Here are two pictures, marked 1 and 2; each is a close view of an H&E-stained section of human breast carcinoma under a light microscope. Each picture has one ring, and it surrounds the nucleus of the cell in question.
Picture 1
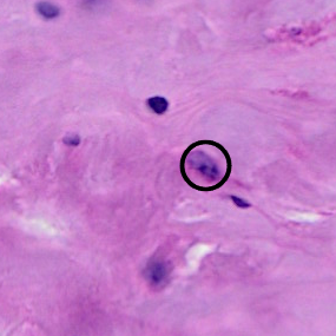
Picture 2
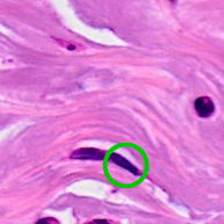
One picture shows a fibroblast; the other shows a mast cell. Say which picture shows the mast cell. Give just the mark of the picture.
1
